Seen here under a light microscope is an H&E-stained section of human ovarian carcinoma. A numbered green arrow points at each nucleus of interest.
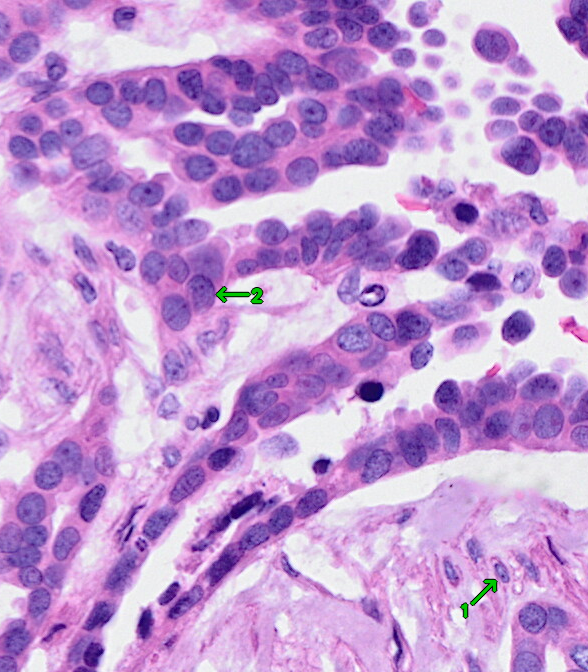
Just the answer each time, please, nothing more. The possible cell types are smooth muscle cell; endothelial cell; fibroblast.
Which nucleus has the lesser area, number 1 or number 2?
1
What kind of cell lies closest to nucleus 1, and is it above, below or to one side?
a fibroblast to the right of nucleus 1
